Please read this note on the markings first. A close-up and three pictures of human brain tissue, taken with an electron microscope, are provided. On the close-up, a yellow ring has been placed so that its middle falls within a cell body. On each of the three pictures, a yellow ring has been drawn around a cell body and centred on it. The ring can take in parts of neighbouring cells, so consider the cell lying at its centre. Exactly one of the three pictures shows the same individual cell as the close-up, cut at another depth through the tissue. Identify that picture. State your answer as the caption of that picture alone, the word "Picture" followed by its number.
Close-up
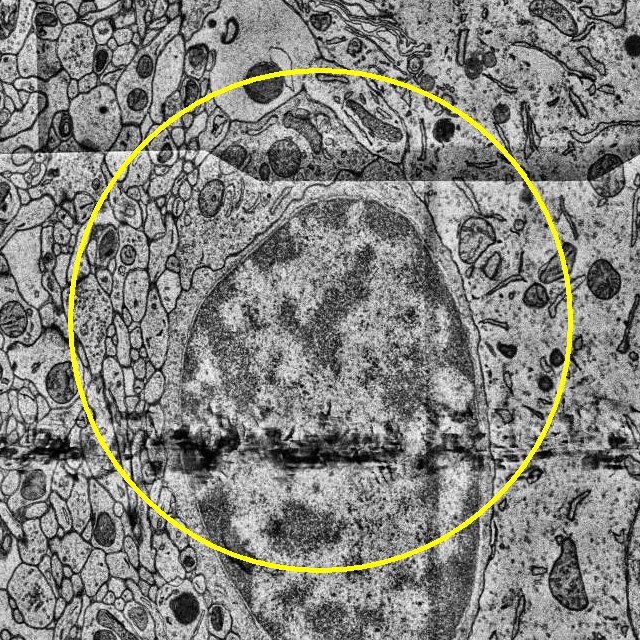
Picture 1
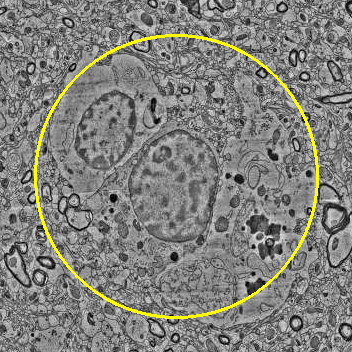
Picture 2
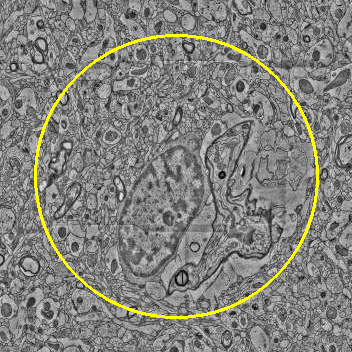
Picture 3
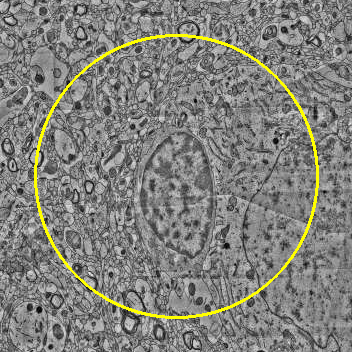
Picture 3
